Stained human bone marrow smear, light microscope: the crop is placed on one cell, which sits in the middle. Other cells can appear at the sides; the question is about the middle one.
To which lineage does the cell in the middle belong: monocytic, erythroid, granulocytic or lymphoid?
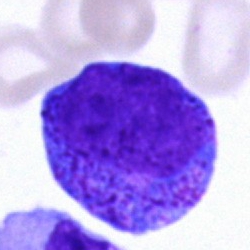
granulocytic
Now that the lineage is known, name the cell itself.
promyelocyte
